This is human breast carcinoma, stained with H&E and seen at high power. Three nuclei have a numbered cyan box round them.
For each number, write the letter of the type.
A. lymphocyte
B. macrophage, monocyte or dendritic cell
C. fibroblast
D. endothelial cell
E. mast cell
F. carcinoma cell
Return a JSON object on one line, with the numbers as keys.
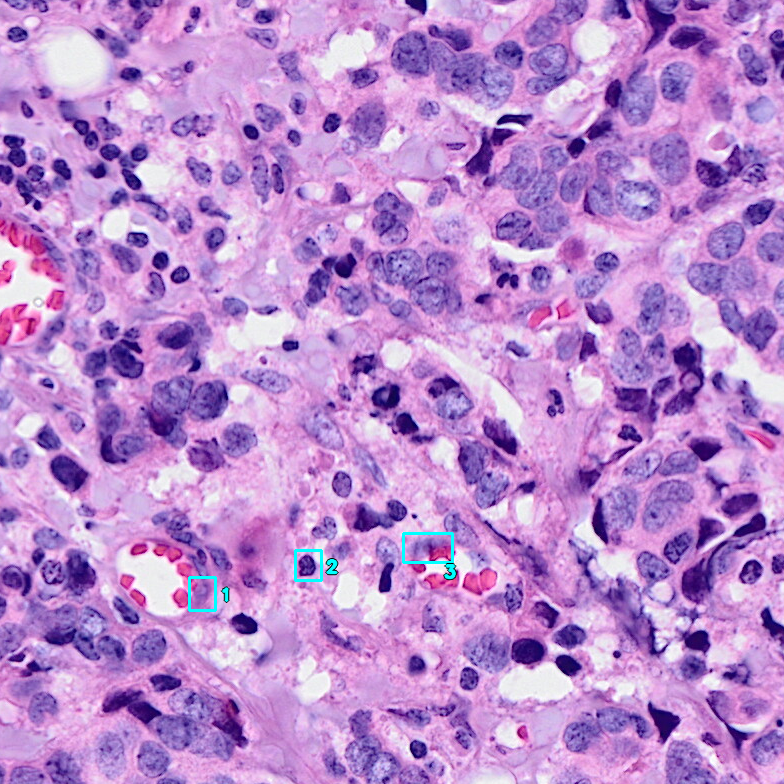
{"1": "D", "2": "A", "3": "D"}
